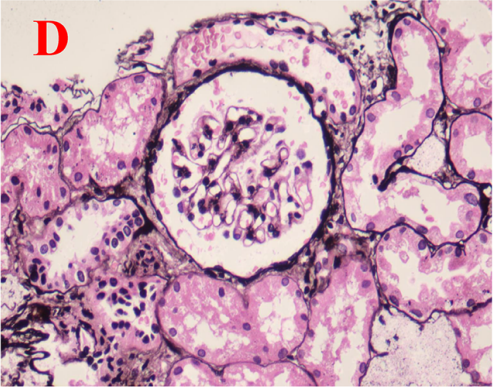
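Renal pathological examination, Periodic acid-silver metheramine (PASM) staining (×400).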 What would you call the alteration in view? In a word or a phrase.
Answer: vacuolar degeneration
